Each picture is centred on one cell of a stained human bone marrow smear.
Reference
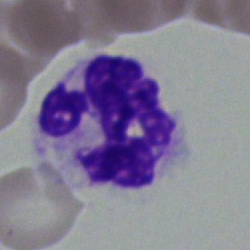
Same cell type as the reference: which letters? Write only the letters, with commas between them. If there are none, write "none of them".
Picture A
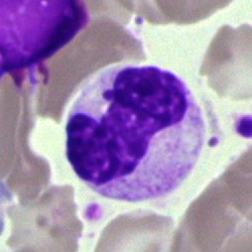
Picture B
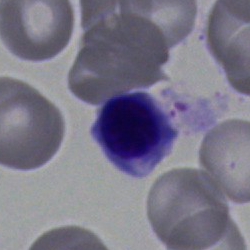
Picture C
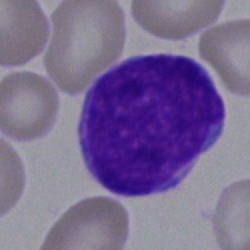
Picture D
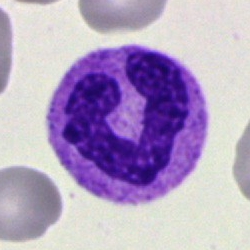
A, D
